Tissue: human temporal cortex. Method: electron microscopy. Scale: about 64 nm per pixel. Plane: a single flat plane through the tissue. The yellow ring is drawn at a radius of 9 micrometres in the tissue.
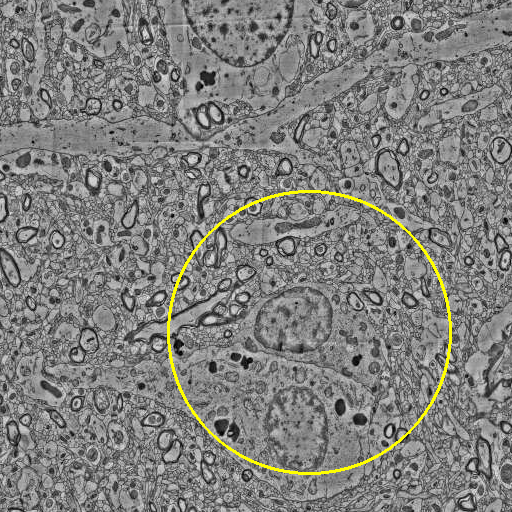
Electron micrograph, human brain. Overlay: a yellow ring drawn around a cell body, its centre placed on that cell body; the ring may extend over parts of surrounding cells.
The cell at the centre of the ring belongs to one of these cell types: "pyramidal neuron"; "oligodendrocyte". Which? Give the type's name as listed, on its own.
oligodendrocyte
